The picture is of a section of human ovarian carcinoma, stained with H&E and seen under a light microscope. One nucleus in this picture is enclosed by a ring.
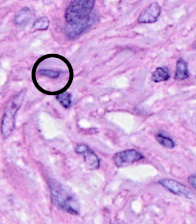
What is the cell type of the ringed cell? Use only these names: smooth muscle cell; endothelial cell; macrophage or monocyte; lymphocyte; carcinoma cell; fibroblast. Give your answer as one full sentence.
In the stained section, the ringed cell is a fibroblast.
